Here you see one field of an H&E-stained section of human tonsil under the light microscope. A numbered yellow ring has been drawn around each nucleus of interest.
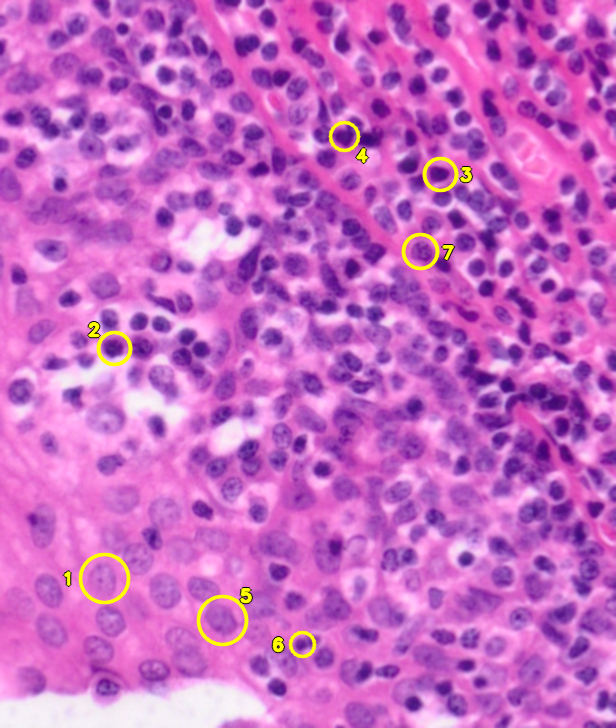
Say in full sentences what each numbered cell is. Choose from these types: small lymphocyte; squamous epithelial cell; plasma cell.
Cells 1, 5 and 6 are squamous epithelial cells. Cells 2, 3, 4 and 7 are plasma cells.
